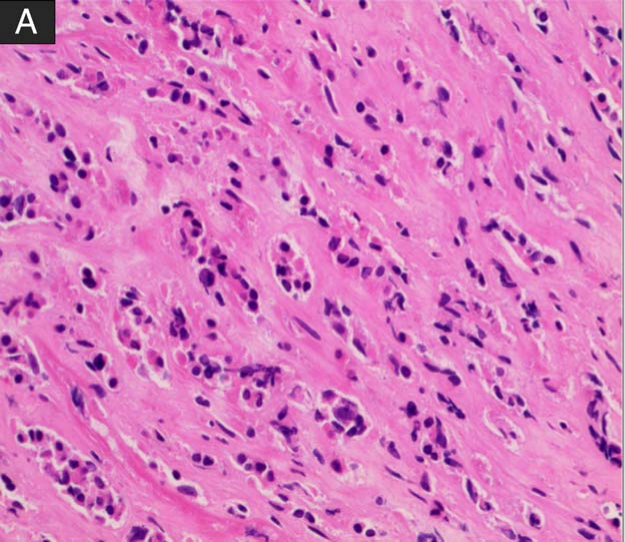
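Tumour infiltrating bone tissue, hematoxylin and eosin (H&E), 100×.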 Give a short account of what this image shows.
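Atypical neoplastic epithelial cells infiltrate a dense pink fibrous background. The cells lie in small groups and narrow strands that run roughly in one direction, some gathered into small round nests or gland-like rings around a clear space, while others sit alone. Their nuclei are dark purple, oval to irregular and crowded, with little pale pink cytoplasm around them. Thin clear clefts often separate the cell groups from the surrounding pink matrix, which is streaky and largely acellular apart from occasional slender spindle-shaped nuclei.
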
